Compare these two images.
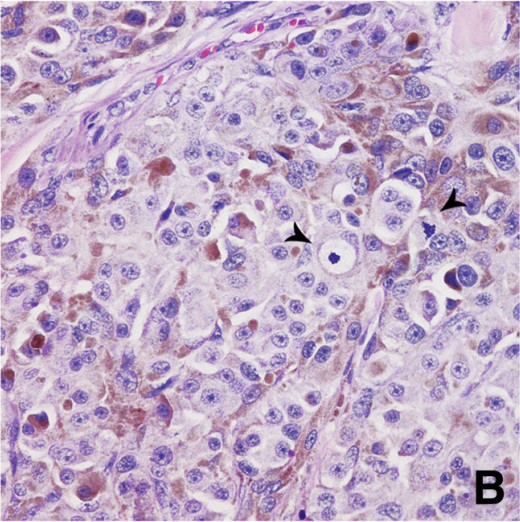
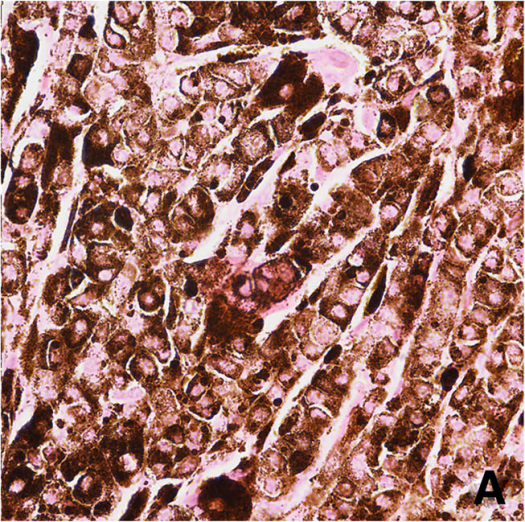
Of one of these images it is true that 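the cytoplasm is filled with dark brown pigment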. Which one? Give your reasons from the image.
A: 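Second image: most cells are obscured by dense dark brown to black granular pigment.
Conclusion: the second image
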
